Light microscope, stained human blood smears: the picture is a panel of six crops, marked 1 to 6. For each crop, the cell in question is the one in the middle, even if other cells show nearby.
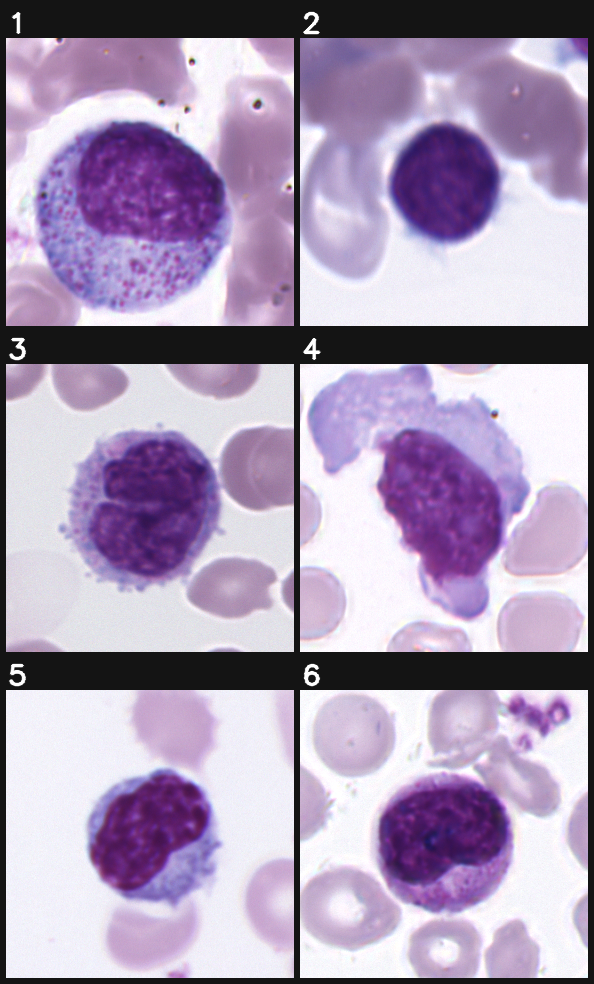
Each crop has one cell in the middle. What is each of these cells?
1: promyelocyte
2: hairy cell
3: monocyte
4: plasma cell
5: typical lymphocyte
6: metamyelocyte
